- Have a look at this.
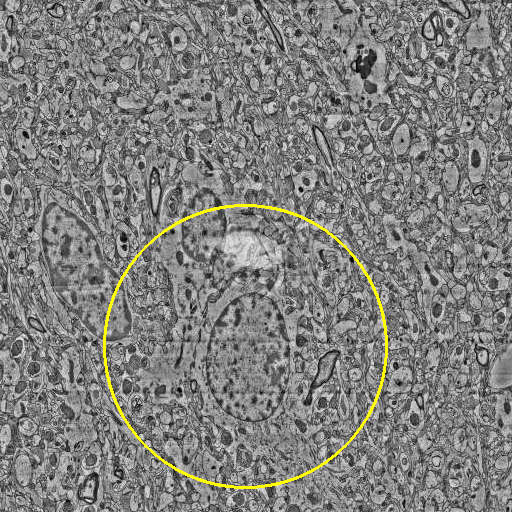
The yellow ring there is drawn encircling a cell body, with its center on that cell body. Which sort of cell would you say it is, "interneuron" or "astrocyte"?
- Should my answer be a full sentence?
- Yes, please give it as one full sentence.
For this picture, an astrocyte is the cell where the yellow ring has its center.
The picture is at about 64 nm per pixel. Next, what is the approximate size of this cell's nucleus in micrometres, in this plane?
In this plane the nucleus measures about 8 by 5 micrometres and is clearly longer than it is wide.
